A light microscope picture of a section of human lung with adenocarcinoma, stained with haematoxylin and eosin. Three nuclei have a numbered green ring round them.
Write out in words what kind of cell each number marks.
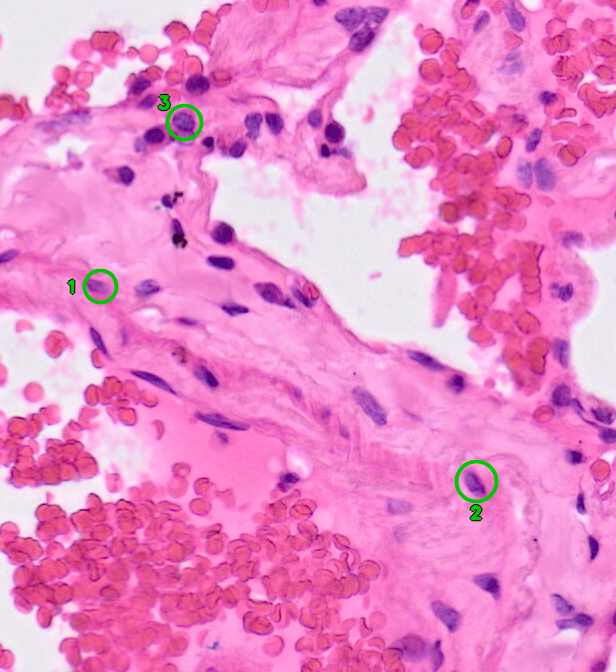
Cell 1 is a smooth muscle cell or pericyte, cell 2 is a smooth muscle cell or pericyte and cell 3 is a mast cell.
